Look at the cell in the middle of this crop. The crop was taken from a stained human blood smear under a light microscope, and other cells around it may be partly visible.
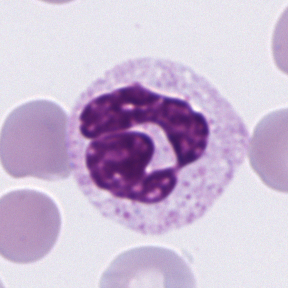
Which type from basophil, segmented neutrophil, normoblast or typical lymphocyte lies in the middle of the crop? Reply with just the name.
segmented neutrophil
